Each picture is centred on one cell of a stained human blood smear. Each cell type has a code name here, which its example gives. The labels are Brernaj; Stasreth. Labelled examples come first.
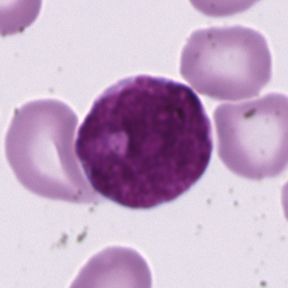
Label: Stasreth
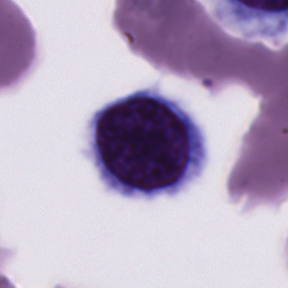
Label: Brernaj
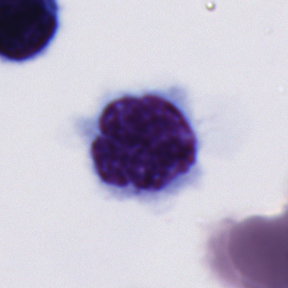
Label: Brernaj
